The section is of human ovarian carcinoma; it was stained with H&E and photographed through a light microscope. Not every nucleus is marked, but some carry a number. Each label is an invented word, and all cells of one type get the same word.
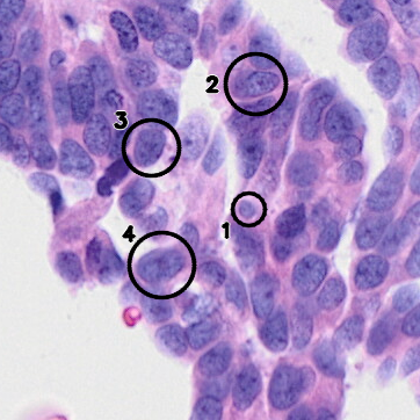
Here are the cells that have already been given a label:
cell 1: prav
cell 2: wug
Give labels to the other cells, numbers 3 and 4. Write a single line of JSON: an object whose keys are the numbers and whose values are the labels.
{"3": "wug", "4": "wug"}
